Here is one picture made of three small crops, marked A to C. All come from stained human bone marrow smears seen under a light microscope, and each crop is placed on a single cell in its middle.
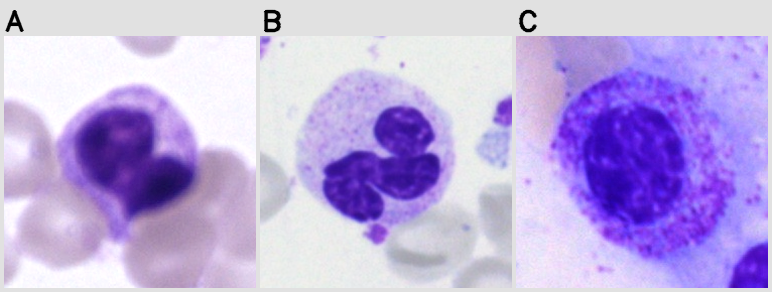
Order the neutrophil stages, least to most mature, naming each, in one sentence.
In maturational order, earliest to latest, the sequence is crop C (a myelocyte), crop A (a metamyelocyte) and crop B (a segmented neutrophil).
